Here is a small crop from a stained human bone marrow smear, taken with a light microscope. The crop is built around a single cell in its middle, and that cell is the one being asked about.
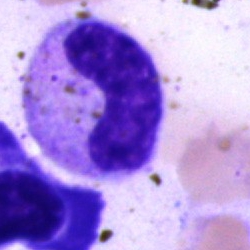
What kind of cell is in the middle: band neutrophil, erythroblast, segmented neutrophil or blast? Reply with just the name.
band neutrophil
